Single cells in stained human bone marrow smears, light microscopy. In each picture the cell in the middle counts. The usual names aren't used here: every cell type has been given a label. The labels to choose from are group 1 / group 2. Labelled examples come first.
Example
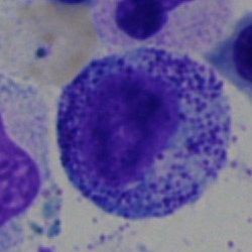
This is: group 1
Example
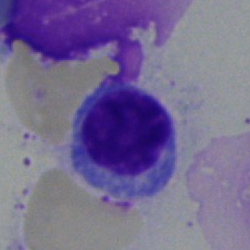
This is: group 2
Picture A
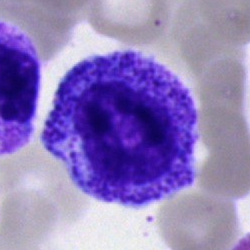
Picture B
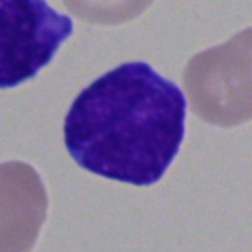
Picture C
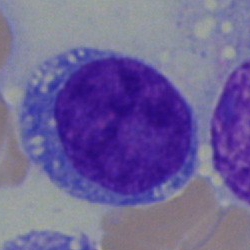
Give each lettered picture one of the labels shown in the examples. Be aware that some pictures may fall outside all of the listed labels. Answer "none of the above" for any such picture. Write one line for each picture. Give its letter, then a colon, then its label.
A: group 1
B: none of the above
C: none of the above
